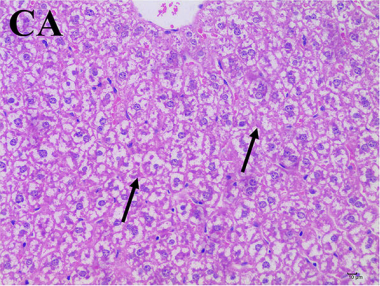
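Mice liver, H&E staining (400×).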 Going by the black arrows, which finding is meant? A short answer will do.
Damaged hepatocytes.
